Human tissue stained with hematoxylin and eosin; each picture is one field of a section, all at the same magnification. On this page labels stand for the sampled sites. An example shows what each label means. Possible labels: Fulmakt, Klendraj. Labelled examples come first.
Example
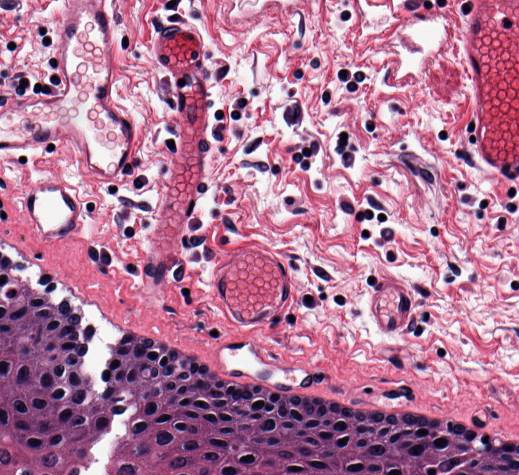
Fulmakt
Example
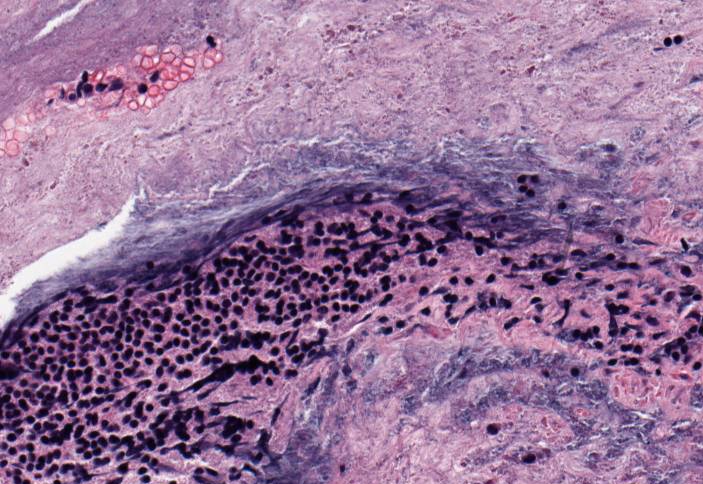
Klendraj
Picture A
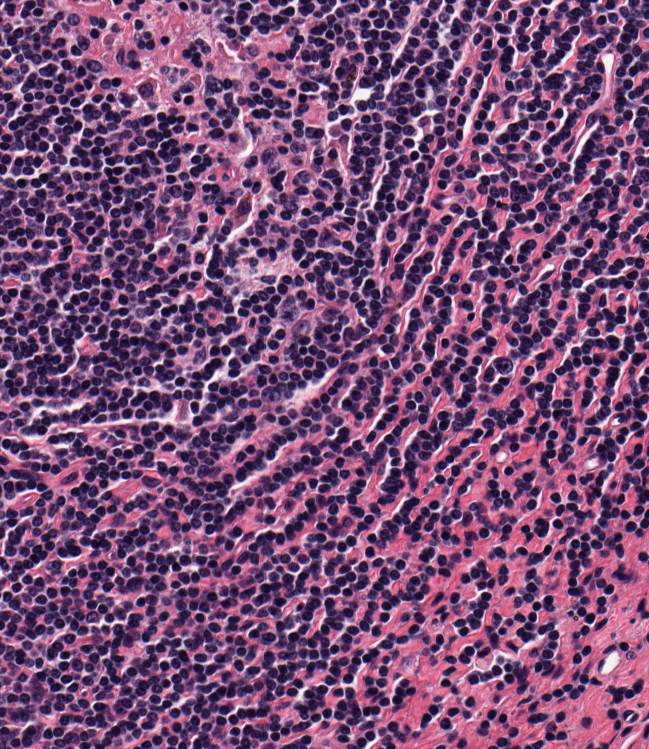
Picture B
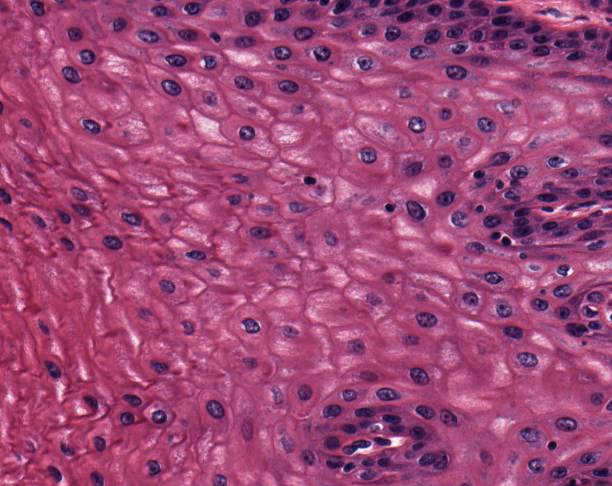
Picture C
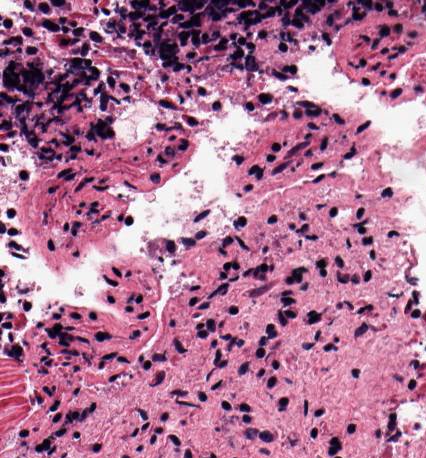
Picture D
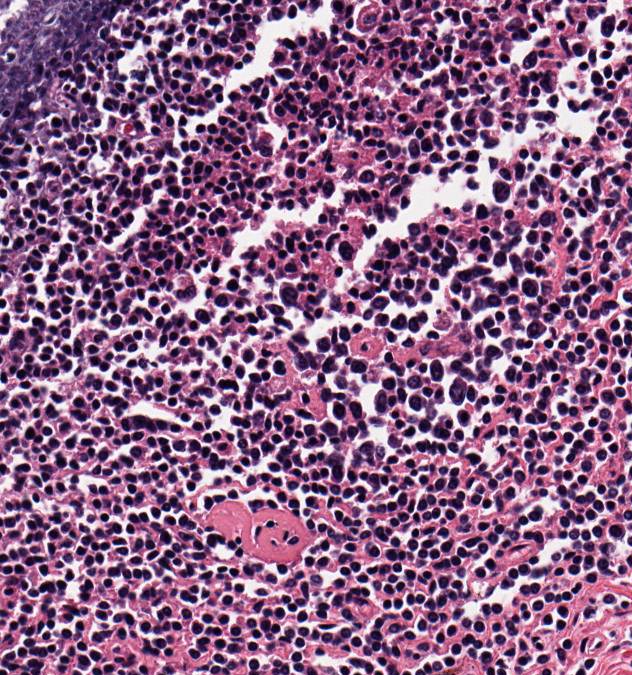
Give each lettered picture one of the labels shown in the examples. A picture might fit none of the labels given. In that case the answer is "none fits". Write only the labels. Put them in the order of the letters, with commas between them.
Klendraj, Fulmakt, Klendraj, Klendraj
